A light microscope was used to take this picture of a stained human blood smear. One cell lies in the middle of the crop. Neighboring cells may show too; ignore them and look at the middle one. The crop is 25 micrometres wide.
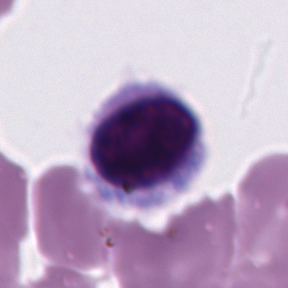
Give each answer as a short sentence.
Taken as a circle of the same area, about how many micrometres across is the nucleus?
The diameter of the nucleus comes to about 8 micrometres.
